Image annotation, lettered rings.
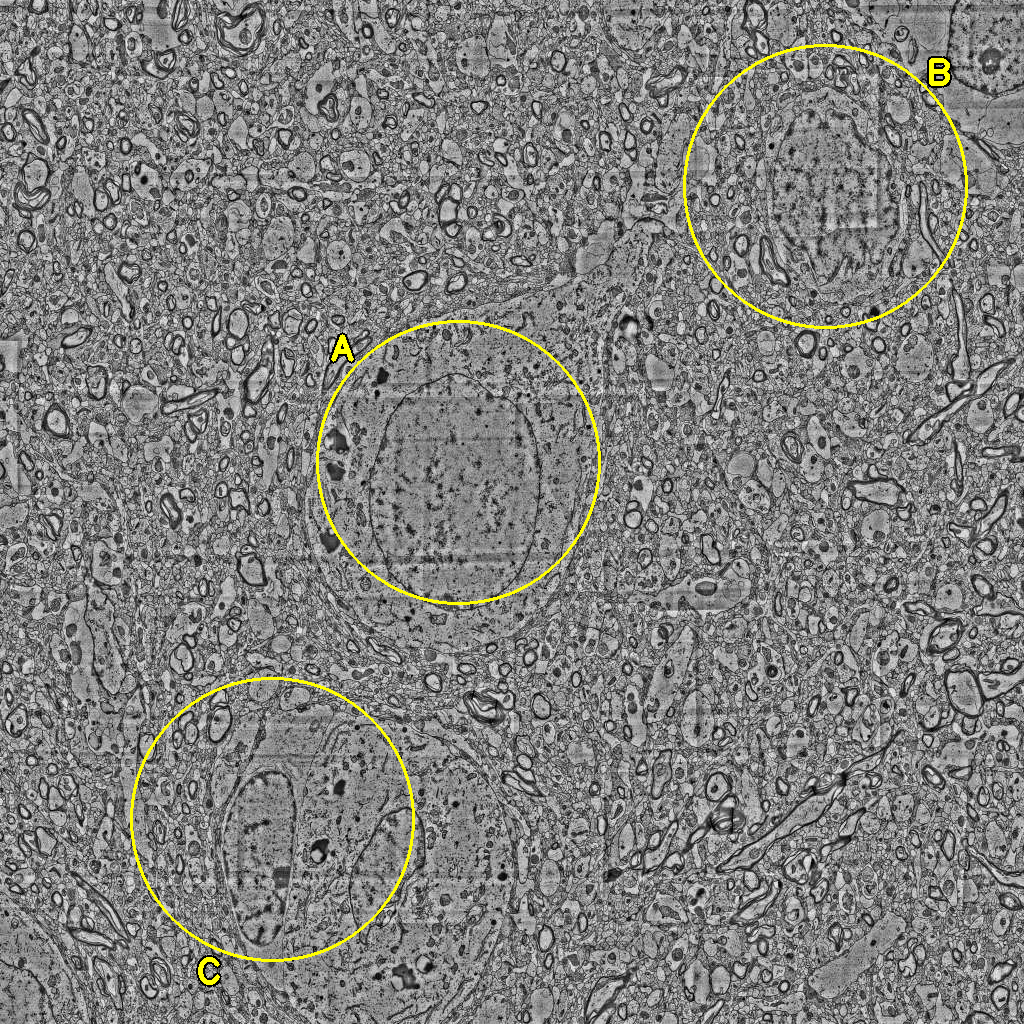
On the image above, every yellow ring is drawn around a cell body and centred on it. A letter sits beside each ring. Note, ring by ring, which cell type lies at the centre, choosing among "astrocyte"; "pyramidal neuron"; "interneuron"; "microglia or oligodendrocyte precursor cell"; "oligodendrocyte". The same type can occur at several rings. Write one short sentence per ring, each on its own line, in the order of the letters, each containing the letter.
Ring A has a pyramidal neuron at its centre.
Ring B has an interneuron at its centre.
Ring C has a microglial cell or oligodendrocyte precursor cell at its centre.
